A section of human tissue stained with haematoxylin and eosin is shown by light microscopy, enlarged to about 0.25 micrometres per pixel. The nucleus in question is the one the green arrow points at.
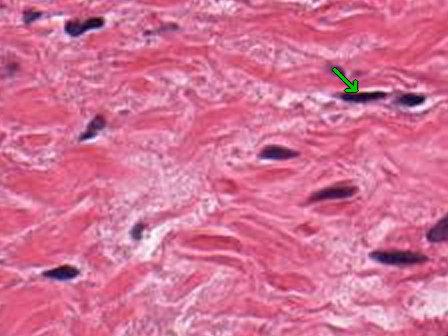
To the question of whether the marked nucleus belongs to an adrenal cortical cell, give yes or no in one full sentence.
No, the cell that carries the marked nucleus is a supporting cell, not an adrenal cortical cell.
